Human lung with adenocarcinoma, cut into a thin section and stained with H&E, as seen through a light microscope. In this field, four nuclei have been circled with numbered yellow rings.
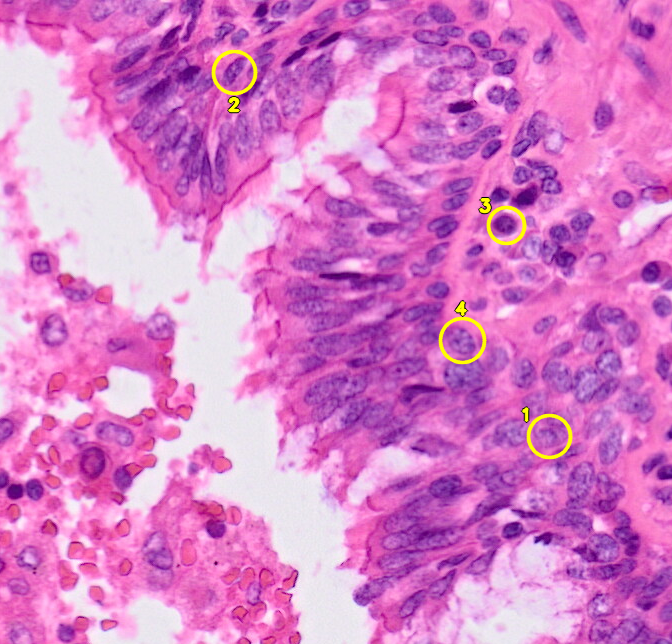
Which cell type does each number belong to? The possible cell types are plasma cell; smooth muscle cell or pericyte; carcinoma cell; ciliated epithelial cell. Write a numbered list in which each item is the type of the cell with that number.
1. ciliated epithelial cell
2. ciliated epithelial cell
3. plasma cell
4. ciliated epithelial cell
